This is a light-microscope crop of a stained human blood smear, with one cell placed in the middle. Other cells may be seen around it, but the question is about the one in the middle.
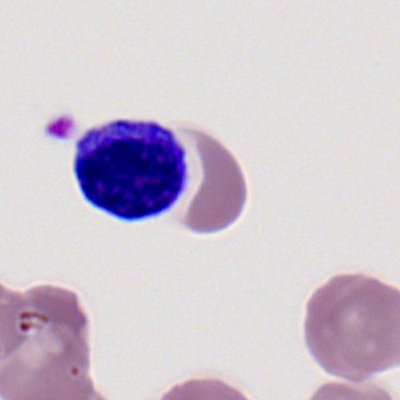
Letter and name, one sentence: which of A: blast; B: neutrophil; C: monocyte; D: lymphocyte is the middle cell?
The one to choose is option D, as the cell in the middle is a lymphocyte.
